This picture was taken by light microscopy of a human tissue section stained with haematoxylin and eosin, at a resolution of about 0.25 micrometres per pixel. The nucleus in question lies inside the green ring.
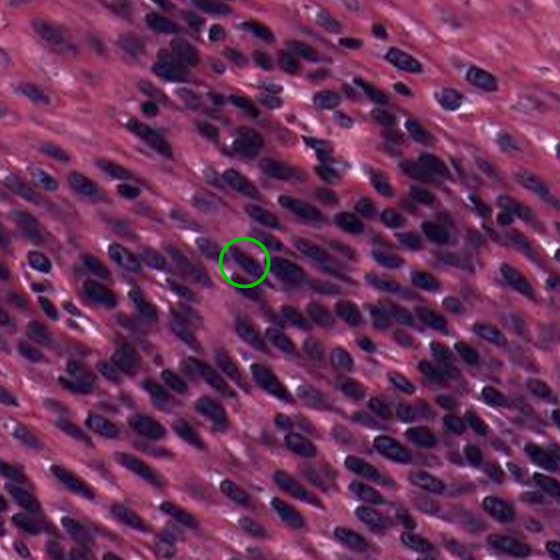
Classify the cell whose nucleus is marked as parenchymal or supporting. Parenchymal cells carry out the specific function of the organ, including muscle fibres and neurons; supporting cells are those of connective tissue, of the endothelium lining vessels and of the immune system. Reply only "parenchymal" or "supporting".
parenchymal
